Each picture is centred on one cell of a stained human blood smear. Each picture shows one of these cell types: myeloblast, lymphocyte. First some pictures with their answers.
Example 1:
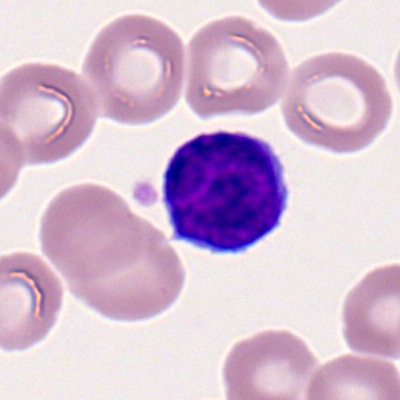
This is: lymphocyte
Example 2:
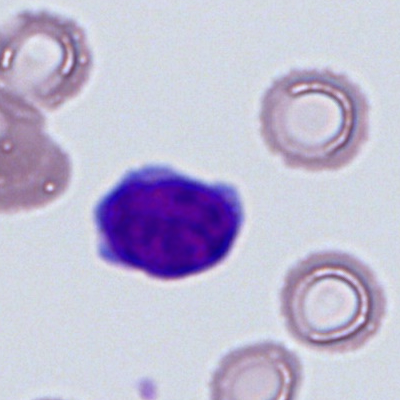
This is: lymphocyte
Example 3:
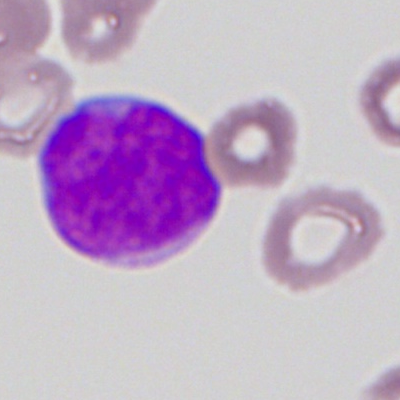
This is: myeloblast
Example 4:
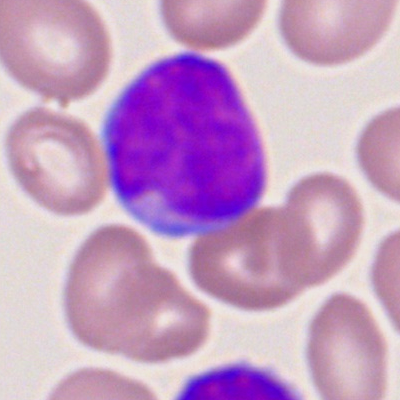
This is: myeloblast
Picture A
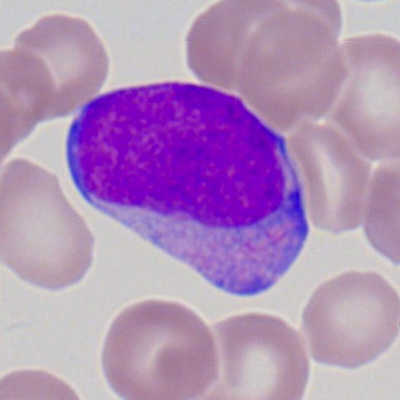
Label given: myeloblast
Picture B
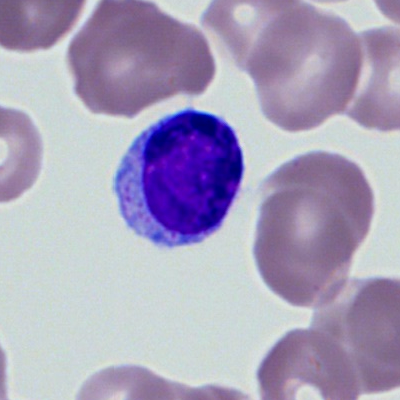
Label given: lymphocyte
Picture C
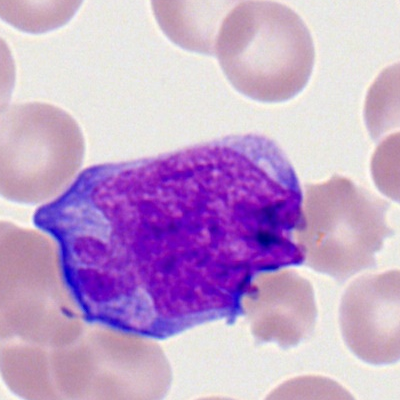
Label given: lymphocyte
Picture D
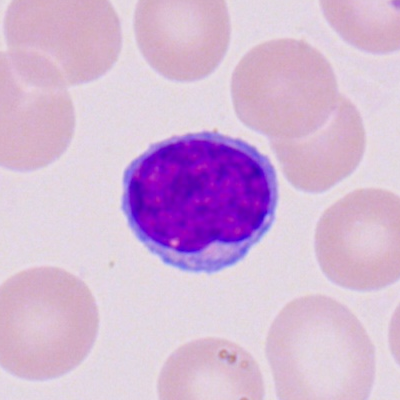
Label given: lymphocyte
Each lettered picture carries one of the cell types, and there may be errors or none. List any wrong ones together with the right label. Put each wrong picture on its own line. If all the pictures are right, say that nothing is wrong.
C is labelled lymphocyte; correct label: myeloblast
